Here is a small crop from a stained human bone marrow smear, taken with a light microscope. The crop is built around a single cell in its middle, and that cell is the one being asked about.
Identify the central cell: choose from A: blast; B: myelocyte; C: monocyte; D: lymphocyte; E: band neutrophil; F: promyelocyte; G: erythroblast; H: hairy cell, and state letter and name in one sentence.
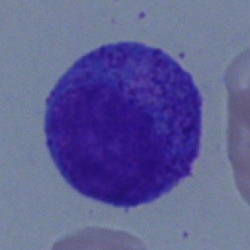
Option F, which names the central cell as a promyelocyte, is correct.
